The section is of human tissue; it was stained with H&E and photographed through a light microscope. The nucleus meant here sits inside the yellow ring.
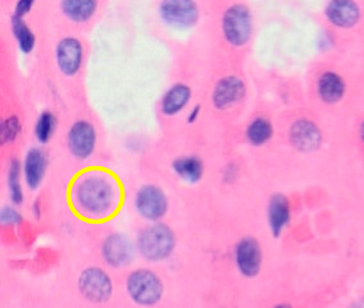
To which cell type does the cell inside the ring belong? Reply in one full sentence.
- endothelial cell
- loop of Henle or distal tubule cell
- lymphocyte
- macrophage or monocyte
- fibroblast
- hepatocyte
The cell meant here is a loop of Henle or distal tubule cell.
